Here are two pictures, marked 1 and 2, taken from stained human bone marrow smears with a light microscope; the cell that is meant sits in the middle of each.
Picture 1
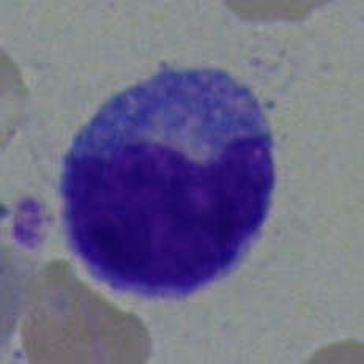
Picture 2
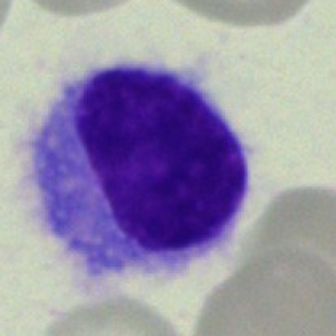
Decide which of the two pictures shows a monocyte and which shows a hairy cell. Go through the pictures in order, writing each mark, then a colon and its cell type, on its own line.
1: monocyte
2: hairy cell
